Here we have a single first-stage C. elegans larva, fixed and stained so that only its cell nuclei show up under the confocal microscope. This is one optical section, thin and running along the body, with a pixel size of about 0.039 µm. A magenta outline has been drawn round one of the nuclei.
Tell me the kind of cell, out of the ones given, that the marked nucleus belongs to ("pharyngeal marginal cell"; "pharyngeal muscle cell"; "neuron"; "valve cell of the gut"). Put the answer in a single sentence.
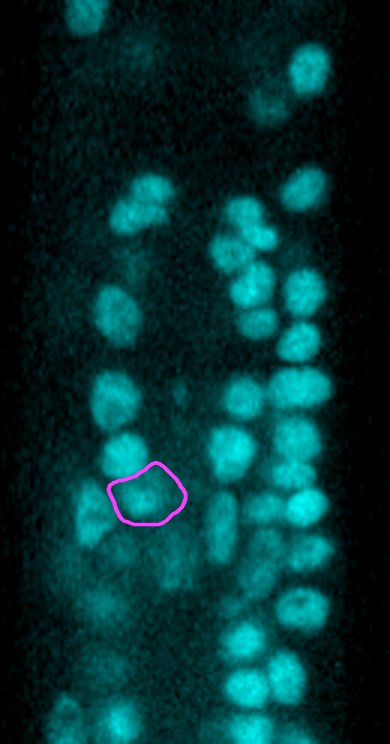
This is the nucleus of a pharyngeal muscle cell.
